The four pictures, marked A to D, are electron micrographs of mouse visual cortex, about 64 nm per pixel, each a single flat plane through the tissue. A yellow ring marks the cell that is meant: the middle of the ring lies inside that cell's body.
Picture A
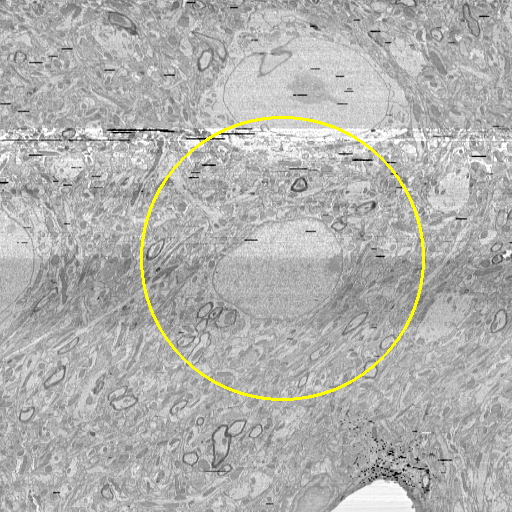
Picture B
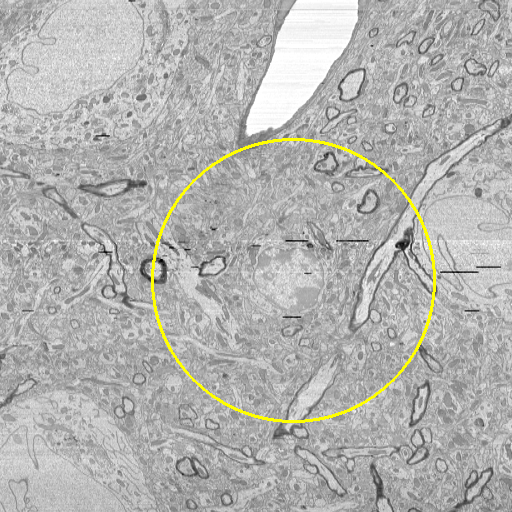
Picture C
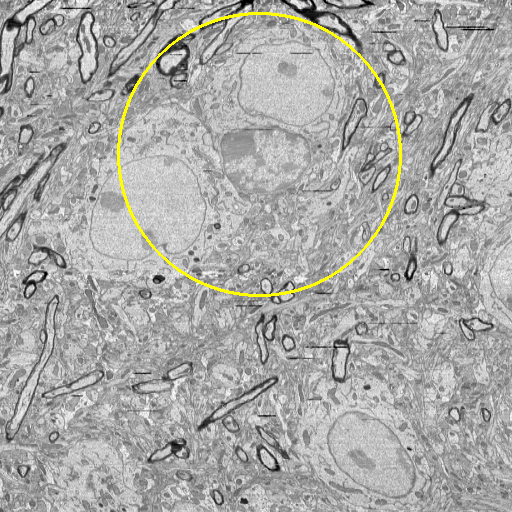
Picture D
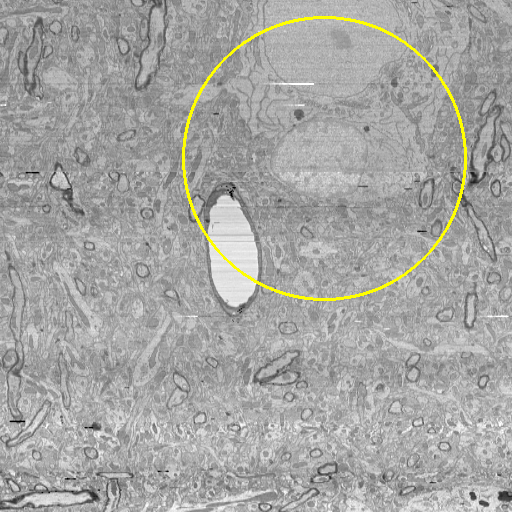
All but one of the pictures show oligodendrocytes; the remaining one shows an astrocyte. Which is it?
The astrocyte is the one in picture A.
